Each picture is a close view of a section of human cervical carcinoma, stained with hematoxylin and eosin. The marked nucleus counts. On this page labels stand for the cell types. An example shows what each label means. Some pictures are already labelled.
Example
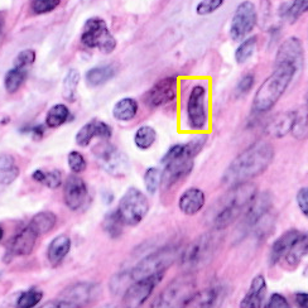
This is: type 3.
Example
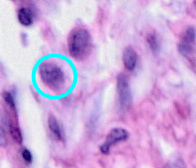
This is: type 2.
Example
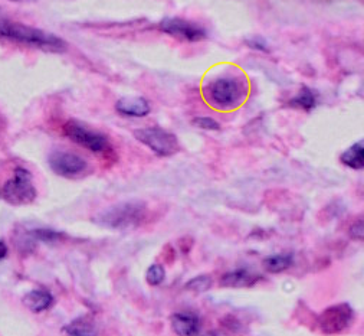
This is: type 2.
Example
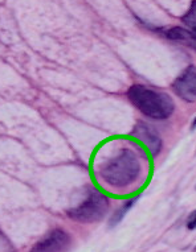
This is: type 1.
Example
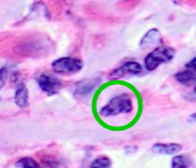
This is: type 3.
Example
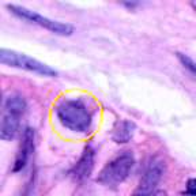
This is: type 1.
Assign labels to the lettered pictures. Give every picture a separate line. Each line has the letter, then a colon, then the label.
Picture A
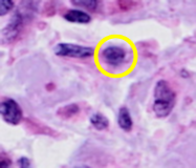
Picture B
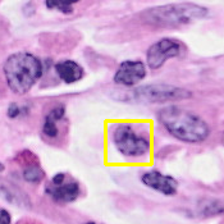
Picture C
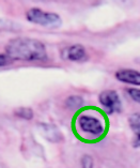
A: type 3.
B: type 2.
C: type 3.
